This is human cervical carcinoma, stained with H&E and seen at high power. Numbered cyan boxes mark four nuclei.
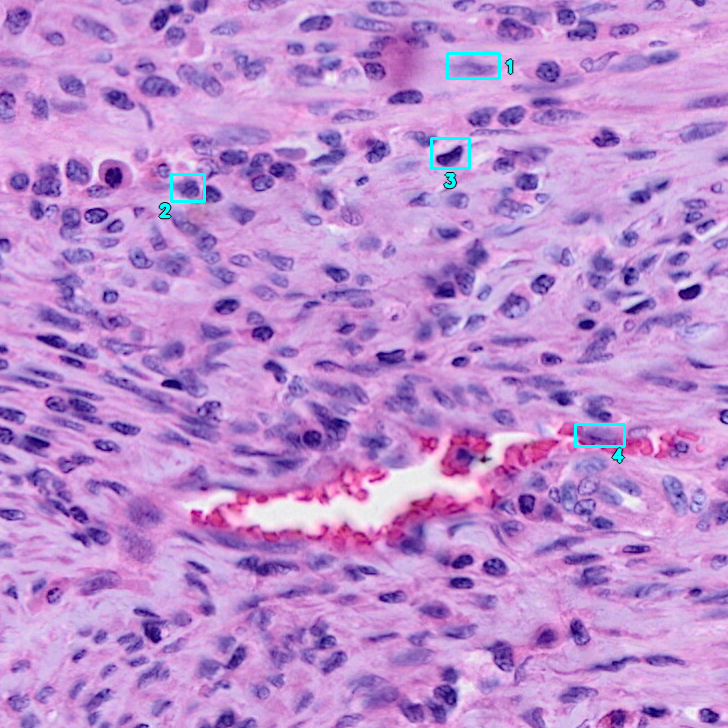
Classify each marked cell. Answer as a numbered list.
1. fibroblast
2. lymphocyte
3. lymphocyte
4. endothelial cell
